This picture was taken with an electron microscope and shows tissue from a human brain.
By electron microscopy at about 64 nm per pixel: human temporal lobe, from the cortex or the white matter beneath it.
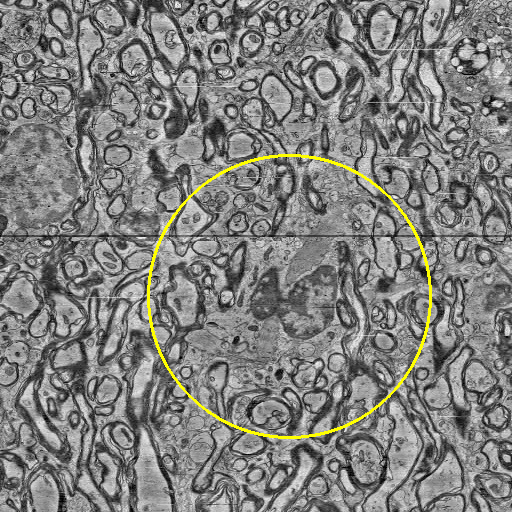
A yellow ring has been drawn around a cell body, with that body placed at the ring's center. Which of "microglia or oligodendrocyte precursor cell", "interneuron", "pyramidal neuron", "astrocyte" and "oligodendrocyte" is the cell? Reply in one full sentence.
In this picture, a microglial cell or oligodendrocyte precursor cell is the cell at the center of the yellow ring.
